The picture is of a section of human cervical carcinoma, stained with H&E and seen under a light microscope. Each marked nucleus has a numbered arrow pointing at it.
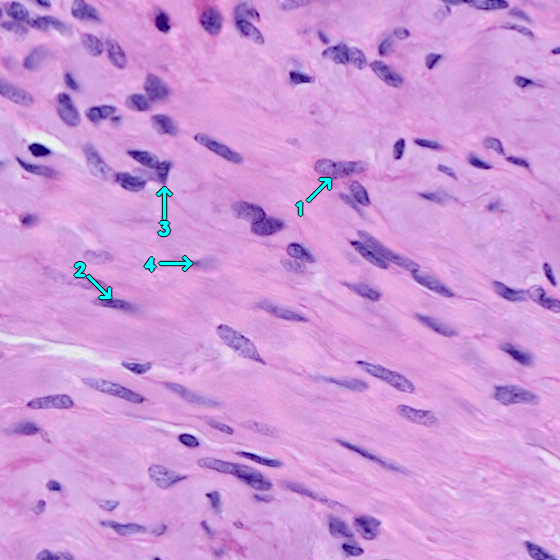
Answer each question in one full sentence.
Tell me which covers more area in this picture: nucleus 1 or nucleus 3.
Nucleus 1 is the larger one, covering about 2 times the area of nucleus 3.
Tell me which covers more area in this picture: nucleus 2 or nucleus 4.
It is nucleus 2, which covers about 1.5 times the area of nucleus 4.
